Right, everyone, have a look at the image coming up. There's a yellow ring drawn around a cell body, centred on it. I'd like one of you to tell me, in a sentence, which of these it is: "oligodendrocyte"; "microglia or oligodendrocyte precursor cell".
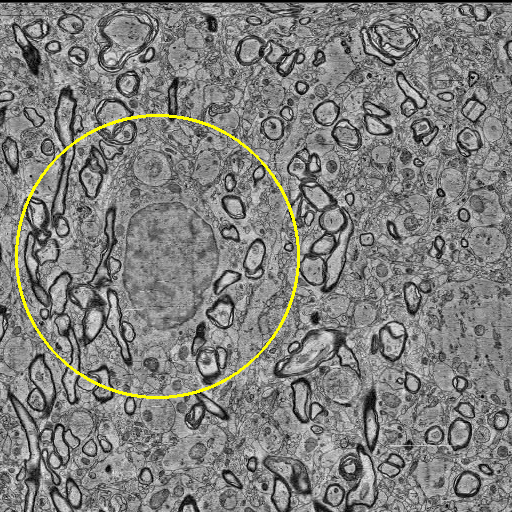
The yellow ring sits on an oligodendrocyte.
